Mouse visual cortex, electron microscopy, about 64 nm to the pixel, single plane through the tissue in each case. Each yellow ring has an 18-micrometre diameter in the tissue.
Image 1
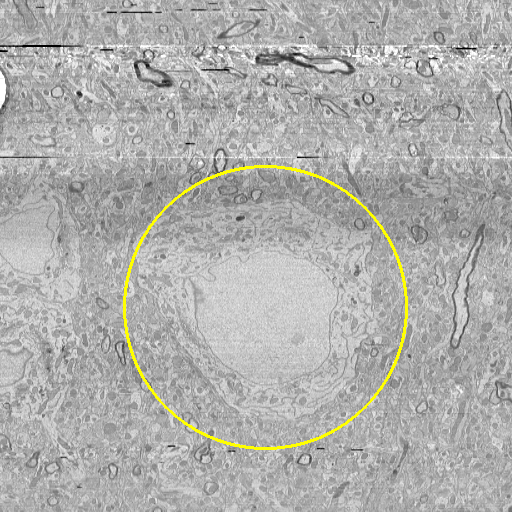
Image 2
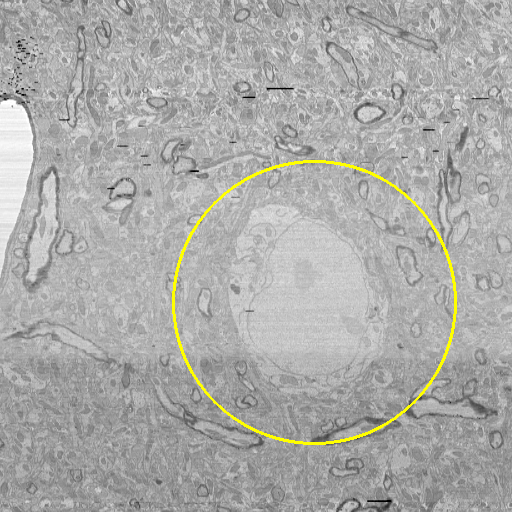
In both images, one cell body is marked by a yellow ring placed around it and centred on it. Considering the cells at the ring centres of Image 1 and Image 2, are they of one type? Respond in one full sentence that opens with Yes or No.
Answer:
Yes, a single type applies to the ring-centred cells of both Image 1 and Image 2.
